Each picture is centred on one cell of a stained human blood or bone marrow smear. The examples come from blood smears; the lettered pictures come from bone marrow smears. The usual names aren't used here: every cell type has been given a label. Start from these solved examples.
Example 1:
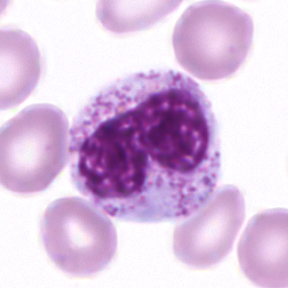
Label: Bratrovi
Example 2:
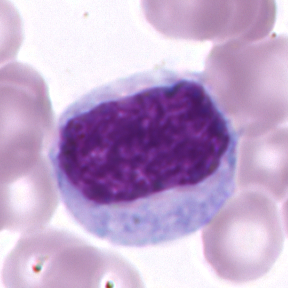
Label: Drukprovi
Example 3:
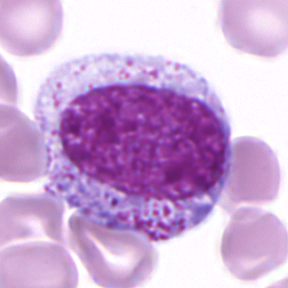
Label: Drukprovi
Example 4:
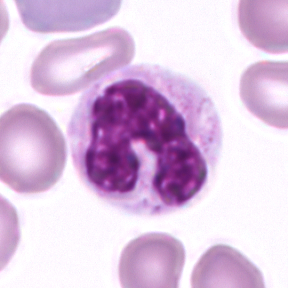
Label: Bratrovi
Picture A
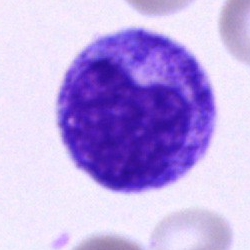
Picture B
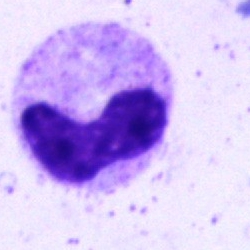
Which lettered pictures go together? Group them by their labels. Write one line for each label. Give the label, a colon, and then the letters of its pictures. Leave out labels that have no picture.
Bratrovi: B
Drukprovi: A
